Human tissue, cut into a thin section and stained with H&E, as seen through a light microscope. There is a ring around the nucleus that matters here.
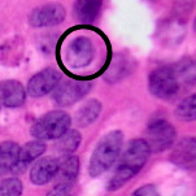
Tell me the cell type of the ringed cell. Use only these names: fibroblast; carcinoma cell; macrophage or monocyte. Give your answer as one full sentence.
The cell meant here is a macrophage or monocyte.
